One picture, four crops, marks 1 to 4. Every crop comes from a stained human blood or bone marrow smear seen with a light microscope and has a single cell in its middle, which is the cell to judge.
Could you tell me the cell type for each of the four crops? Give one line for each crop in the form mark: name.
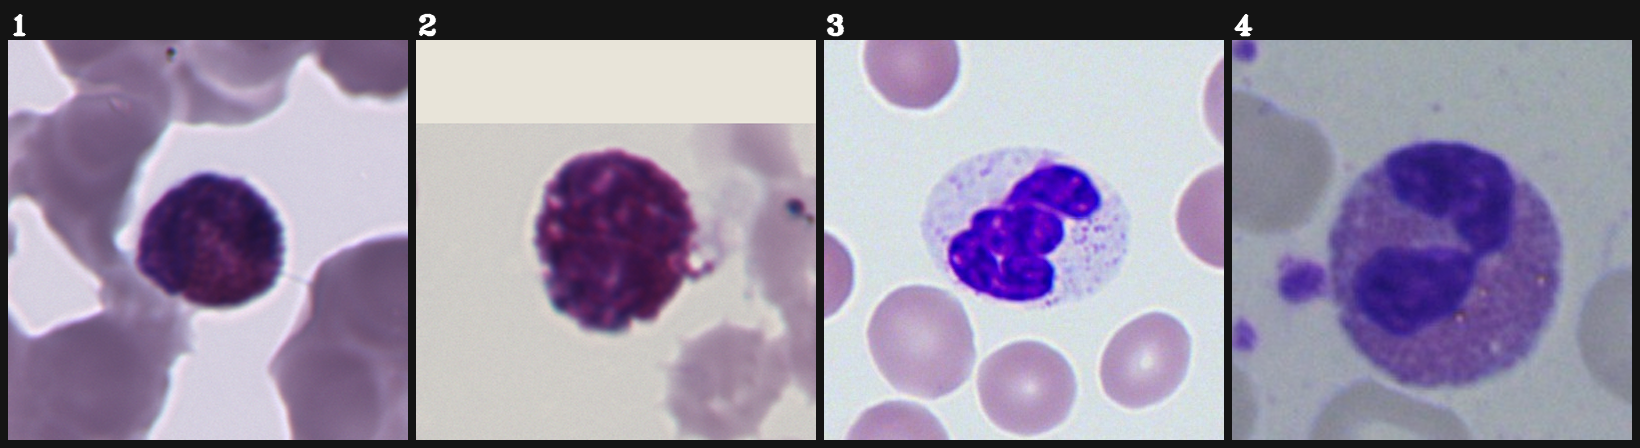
1: eosinophil
2: eosinophil
3: segmented neutrophil
4: eosinophil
